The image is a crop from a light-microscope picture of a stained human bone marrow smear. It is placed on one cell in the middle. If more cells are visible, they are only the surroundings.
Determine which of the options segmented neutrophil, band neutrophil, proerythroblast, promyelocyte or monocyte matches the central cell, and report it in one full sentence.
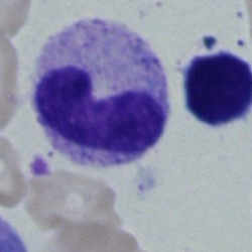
The cell sitting right in the middle is a band neutrophil.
